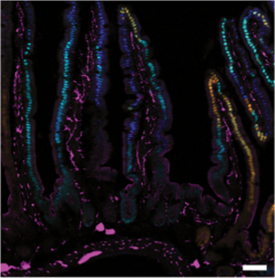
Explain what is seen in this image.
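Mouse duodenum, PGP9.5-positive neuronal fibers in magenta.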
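Within the villus cores, fine beaded magenta fibres run lengthwise beneath the epithelium. Further magenta fibres and small bright clusters lie at the villus bases, among the crypts and in the deeper wall at the bottom of the field.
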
